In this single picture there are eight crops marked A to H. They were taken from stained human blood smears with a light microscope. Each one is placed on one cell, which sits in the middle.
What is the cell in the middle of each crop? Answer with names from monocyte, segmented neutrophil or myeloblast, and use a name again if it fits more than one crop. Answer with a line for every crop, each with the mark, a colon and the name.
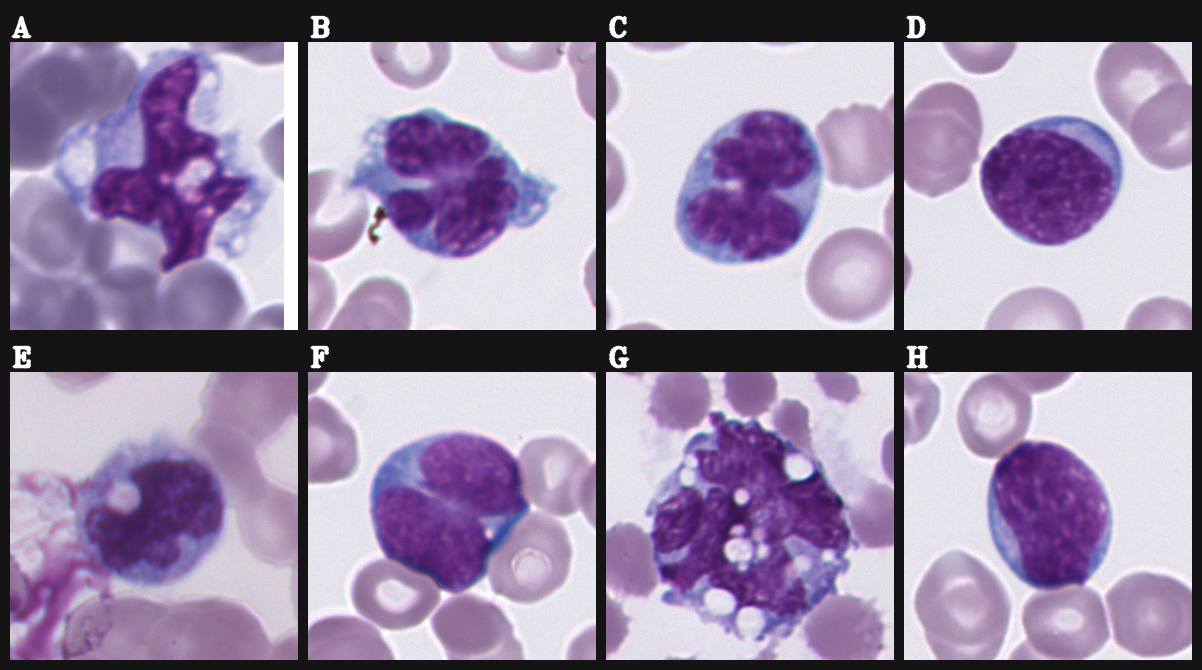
A: monocyte
B: monocyte
C: myeloblast
D: myeloblast
E: monocyte
F: myeloblast
G: monocyte
H: myeloblast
